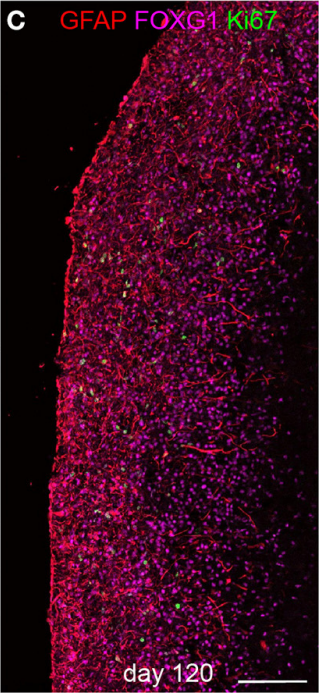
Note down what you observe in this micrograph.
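Red fibrous processes form a dense layer along the surface at the left and extend as long, thin threads into the tissue. Small, round magenta nuclei are densely packed throughout the field. Only a few scattered nuclei are green, lying among the magenta ones.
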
